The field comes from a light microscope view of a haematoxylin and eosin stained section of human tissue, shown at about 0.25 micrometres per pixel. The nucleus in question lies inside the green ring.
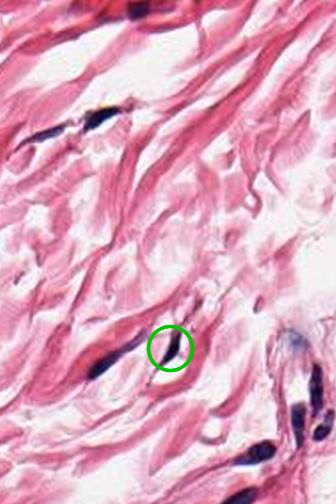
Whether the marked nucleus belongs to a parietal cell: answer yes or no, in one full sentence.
No, it is to a supporting cell that the marked nucleus belongs, not to a parietal cell.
